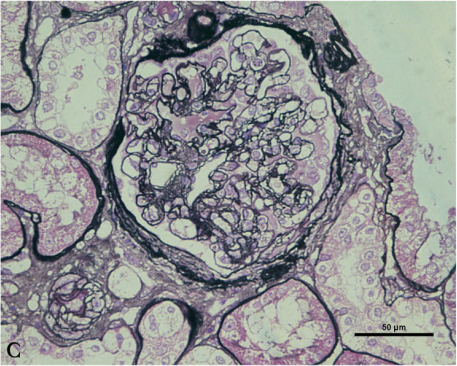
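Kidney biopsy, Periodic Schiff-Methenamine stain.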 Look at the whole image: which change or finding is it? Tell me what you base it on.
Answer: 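Proliferation of mesangial cell and mesangial matrix. Widened stalk-like matrix areas lie between the loops.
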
